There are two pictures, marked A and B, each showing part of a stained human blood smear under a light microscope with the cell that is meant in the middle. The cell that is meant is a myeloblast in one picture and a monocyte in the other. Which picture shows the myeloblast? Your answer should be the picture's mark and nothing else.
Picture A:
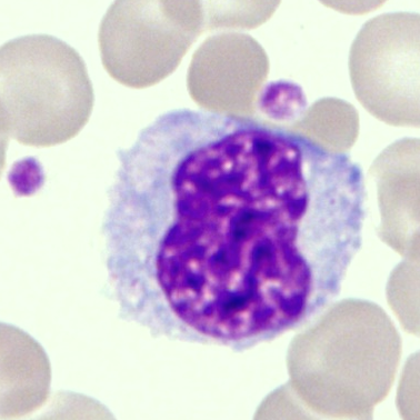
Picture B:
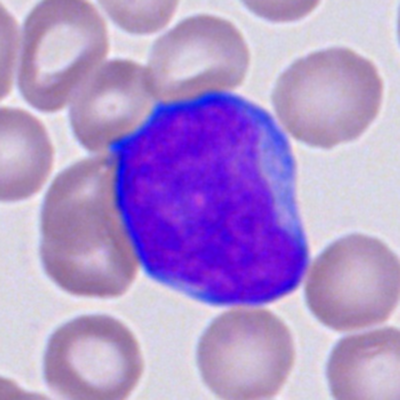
B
